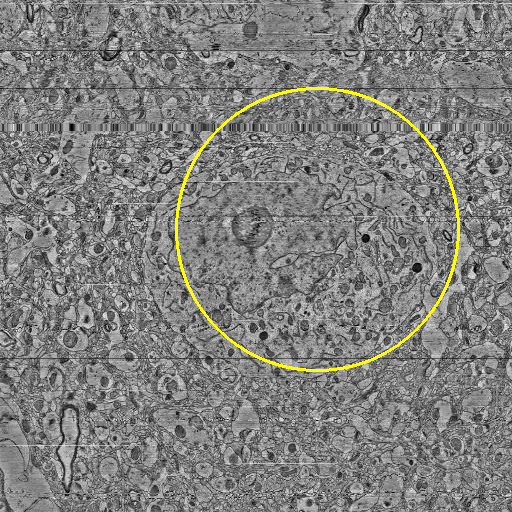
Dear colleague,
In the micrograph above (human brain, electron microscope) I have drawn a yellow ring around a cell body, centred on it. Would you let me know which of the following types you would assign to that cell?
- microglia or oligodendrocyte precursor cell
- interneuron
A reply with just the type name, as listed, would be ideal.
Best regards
interneuron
